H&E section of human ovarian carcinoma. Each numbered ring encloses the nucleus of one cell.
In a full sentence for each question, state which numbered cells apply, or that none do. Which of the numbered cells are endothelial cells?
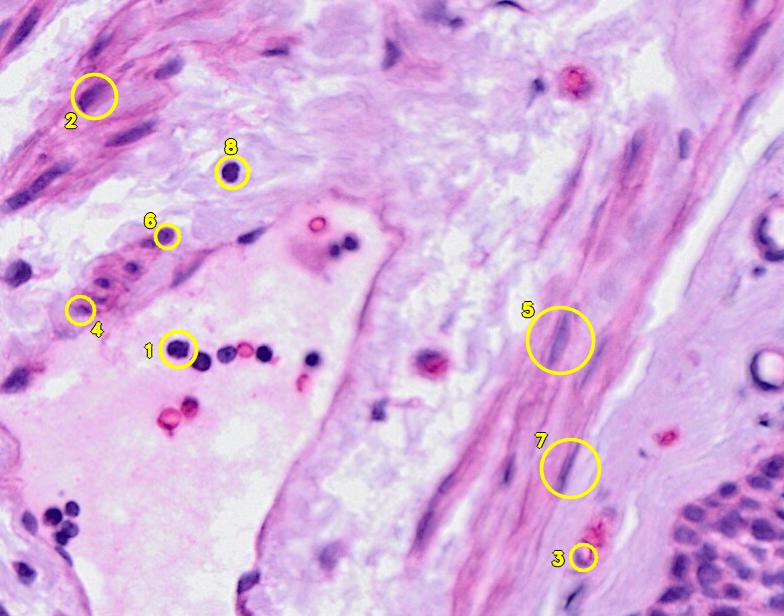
Where the numbered cells are concerned, only number 3 is an endothelial cell.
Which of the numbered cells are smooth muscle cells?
The numbers 2, 4, 5, 6 and 7 in this section indicate smooth muscle cells.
